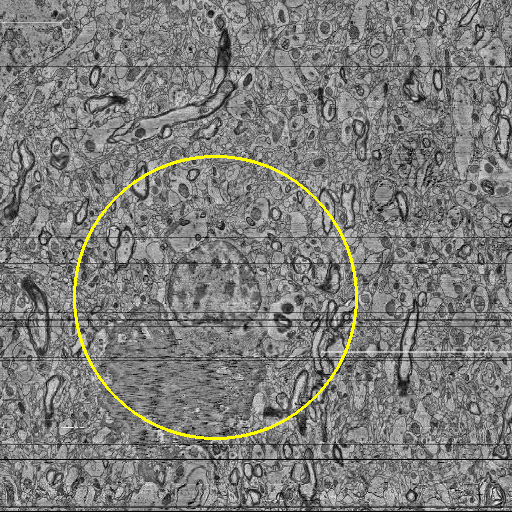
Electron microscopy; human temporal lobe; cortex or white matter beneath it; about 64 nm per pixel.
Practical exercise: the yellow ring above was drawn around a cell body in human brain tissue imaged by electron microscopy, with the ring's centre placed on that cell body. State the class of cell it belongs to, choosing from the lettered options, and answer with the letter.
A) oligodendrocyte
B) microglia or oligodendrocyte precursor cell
A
